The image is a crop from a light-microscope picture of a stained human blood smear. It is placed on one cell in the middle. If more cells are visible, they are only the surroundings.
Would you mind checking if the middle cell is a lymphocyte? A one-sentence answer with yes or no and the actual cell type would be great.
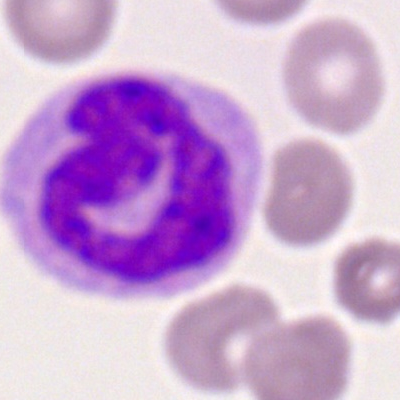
No, the cell positioned in the middle is a monocyte, not a lymphocyte.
